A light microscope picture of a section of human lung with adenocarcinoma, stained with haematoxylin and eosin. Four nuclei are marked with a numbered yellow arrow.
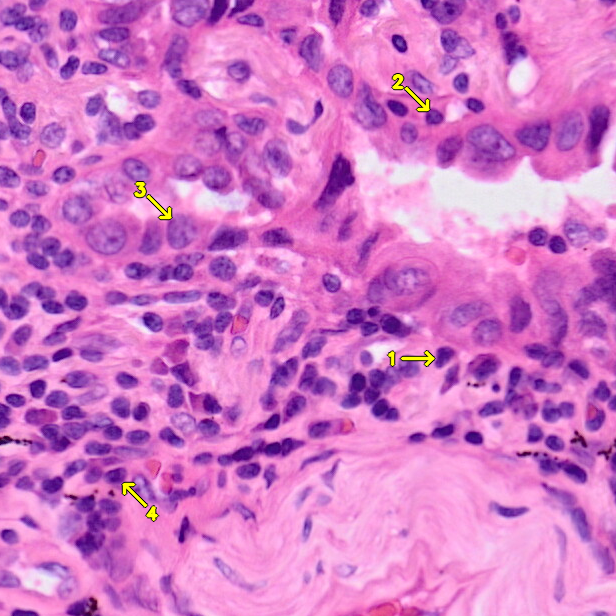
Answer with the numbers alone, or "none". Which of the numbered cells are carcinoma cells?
3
